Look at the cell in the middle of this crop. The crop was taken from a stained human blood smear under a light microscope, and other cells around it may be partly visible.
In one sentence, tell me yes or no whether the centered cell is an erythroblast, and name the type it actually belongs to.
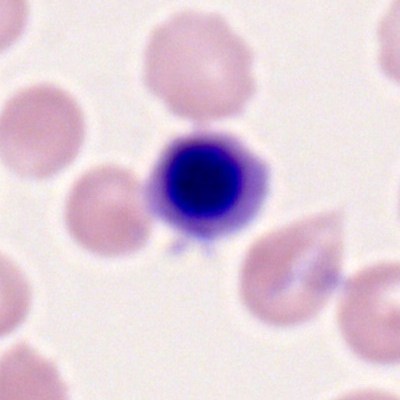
Yes, it is an erythroblast that occupies the centre of the crop.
